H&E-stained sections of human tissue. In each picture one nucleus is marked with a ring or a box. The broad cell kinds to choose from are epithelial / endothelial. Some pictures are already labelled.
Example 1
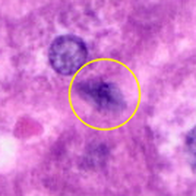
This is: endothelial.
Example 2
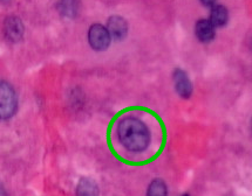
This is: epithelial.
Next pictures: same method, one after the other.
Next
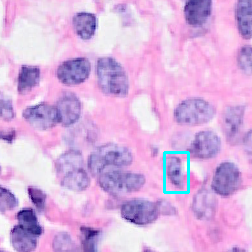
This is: endothelial.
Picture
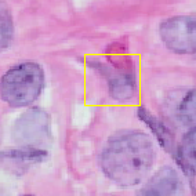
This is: endothelial.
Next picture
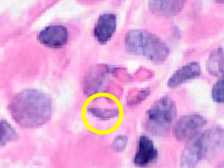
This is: endothelial.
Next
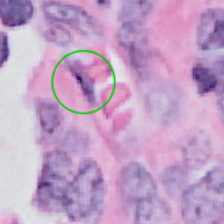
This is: endothelial.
